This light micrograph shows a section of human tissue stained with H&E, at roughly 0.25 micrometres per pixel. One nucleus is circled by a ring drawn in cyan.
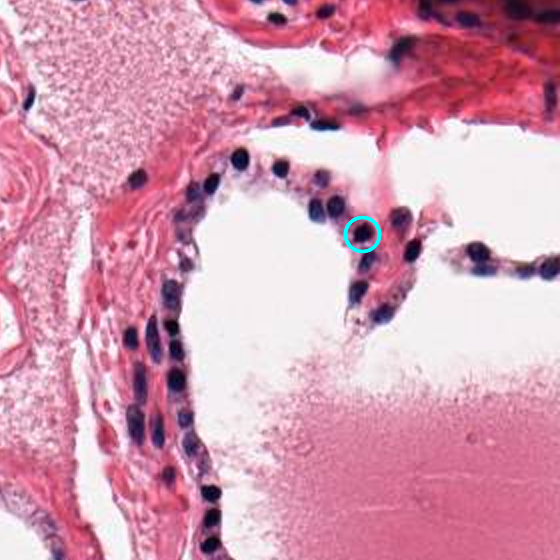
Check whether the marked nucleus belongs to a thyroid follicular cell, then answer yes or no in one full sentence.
Yes, the marked nucleus belongs to a thyroid follicular cell in this field.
